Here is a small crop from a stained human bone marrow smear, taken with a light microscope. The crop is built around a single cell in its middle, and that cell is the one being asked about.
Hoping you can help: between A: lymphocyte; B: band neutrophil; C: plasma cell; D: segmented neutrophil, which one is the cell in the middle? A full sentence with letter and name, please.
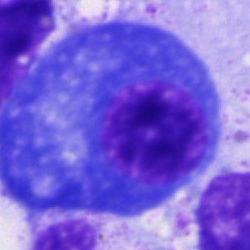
What option C states is correct, the central cell being a plasma cell.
